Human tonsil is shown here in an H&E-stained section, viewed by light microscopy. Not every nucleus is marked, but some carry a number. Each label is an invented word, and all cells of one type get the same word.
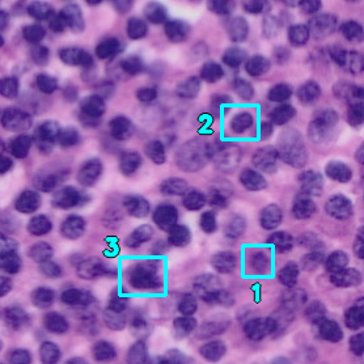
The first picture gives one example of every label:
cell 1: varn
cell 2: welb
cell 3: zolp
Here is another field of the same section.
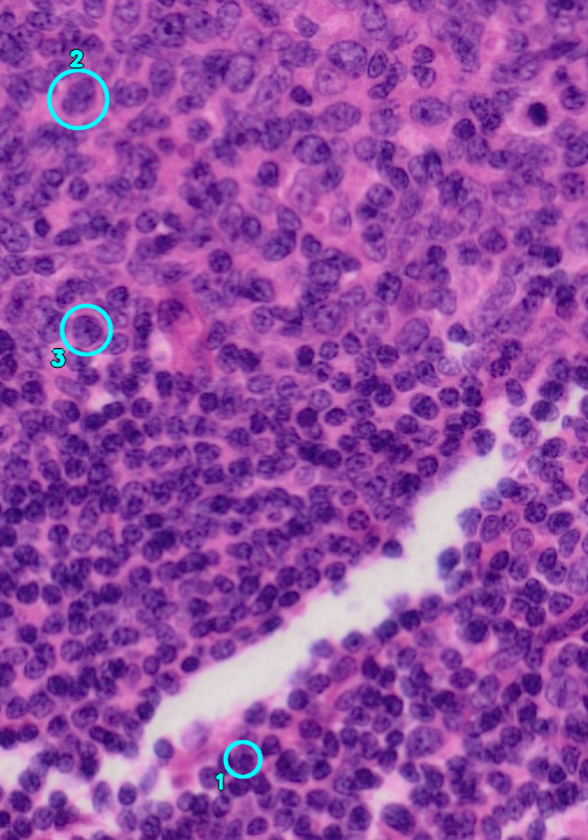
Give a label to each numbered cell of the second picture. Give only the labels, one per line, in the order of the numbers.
welb
zolp
zolp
